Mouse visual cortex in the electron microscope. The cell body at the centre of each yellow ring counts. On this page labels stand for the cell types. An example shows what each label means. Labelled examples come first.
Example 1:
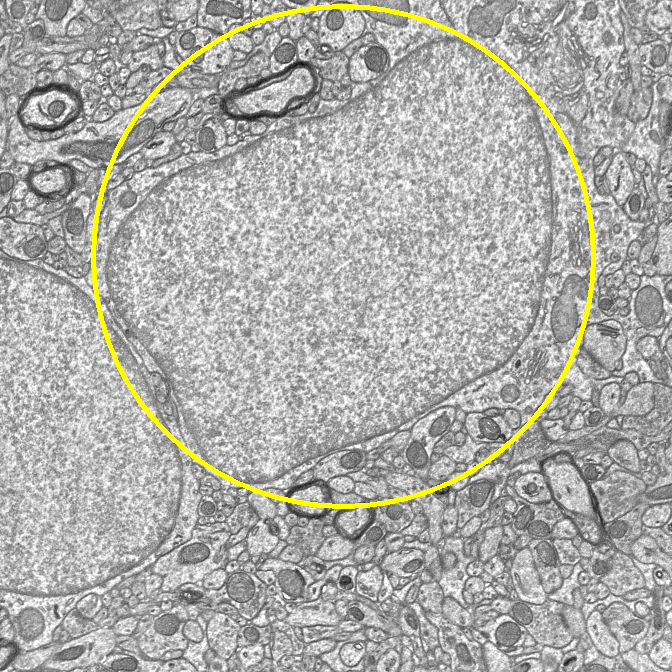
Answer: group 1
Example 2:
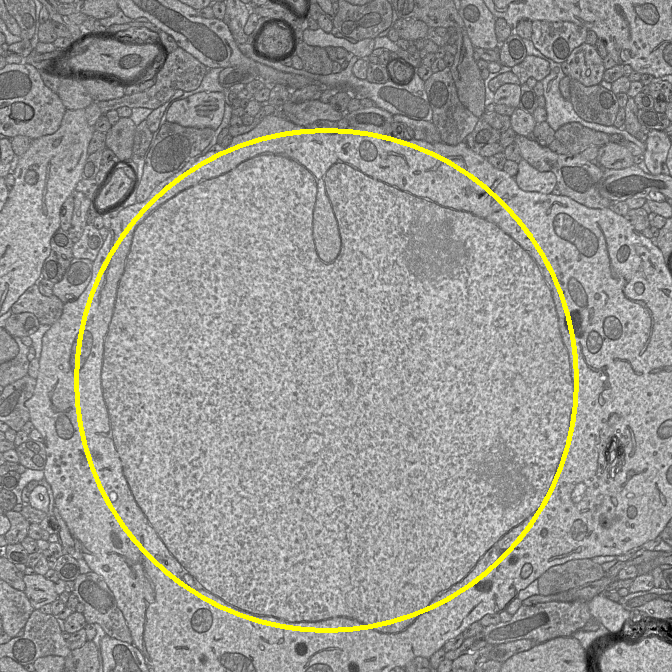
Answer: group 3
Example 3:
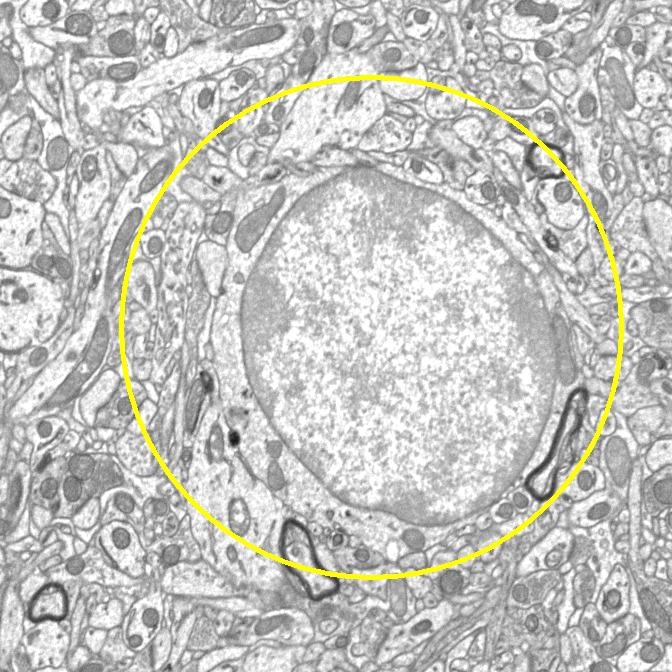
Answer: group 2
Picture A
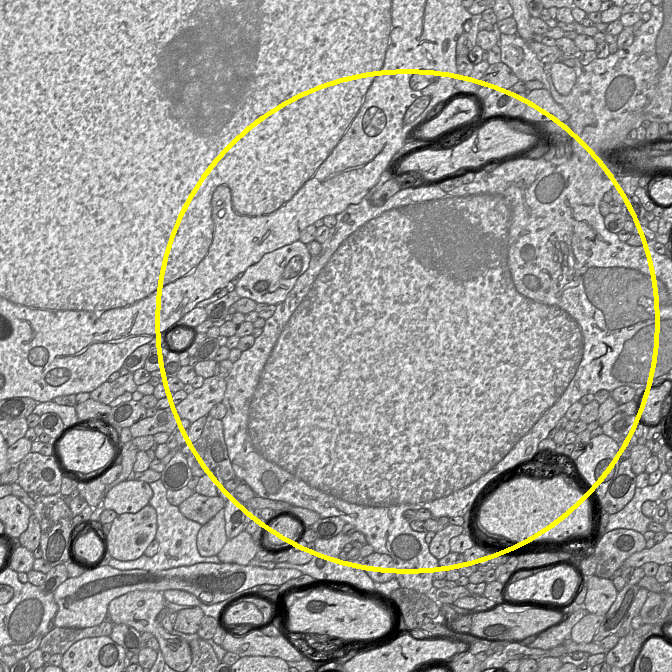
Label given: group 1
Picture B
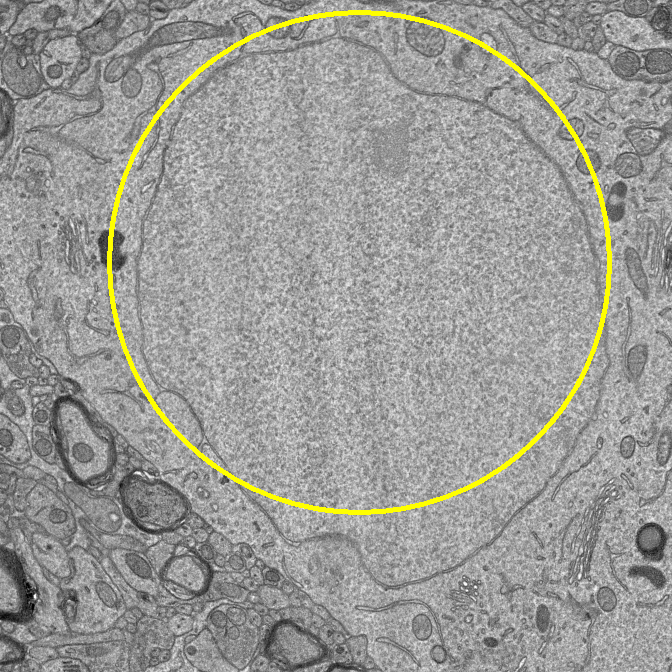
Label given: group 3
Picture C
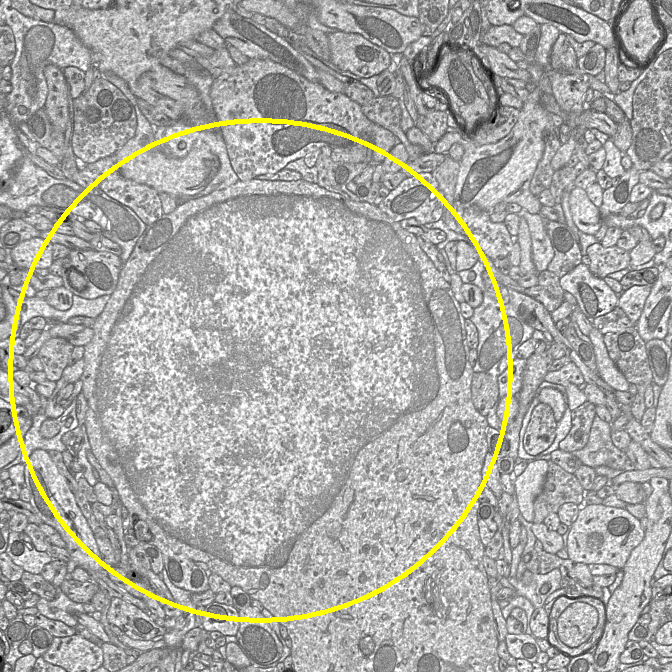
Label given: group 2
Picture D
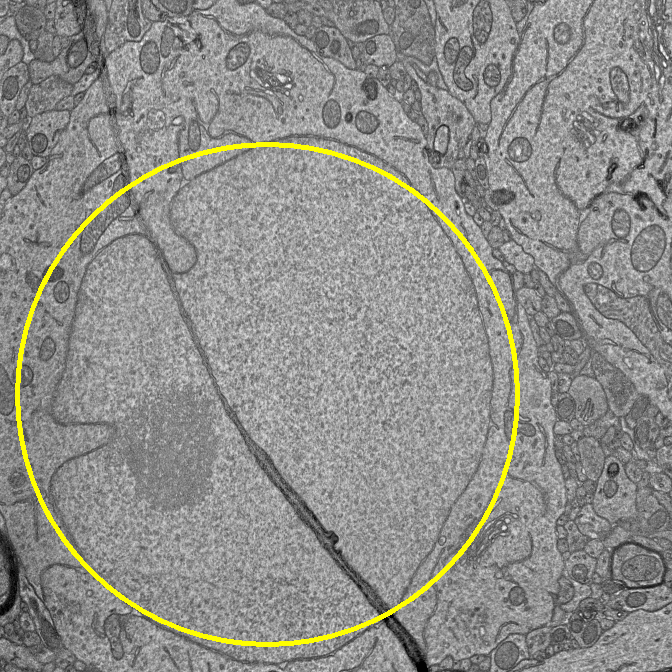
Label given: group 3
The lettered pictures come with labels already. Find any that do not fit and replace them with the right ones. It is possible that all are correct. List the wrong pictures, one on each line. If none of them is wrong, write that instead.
None of the labels needs changing.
